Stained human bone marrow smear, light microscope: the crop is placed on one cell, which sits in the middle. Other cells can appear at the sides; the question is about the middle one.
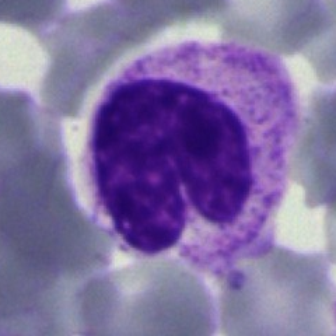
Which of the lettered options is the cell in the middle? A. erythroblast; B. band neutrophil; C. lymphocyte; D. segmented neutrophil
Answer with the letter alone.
B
